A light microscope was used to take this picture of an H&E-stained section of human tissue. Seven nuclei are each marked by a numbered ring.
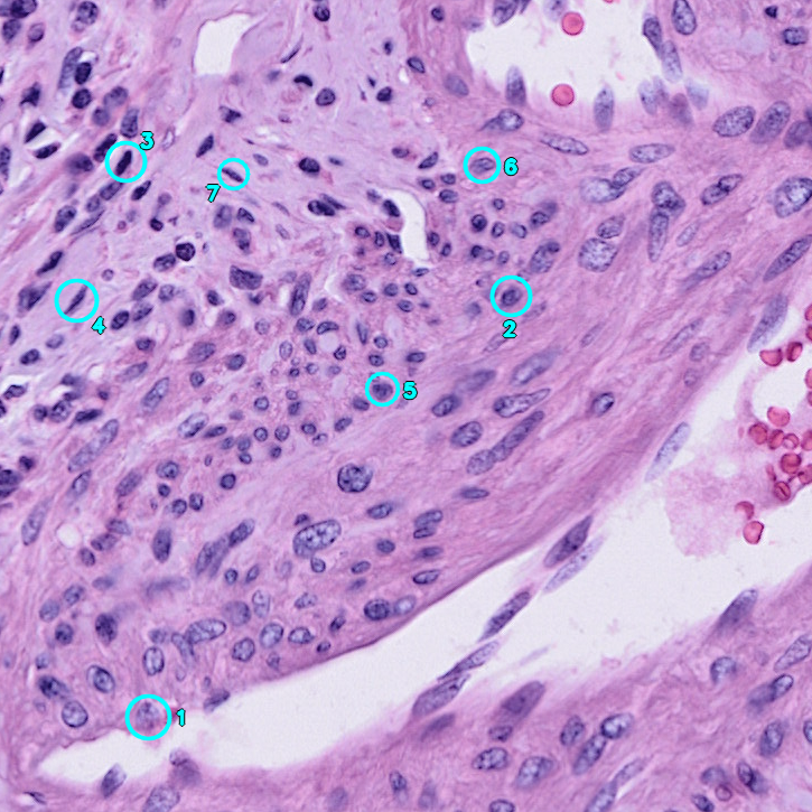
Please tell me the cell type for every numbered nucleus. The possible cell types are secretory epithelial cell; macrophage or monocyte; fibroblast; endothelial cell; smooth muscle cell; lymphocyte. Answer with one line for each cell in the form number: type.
1: endothelial cell
2: smooth muscle cell
3: lymphocyte
4: fibroblast
5: smooth muscle cell
6: smooth muscle cell
7: fibroblast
